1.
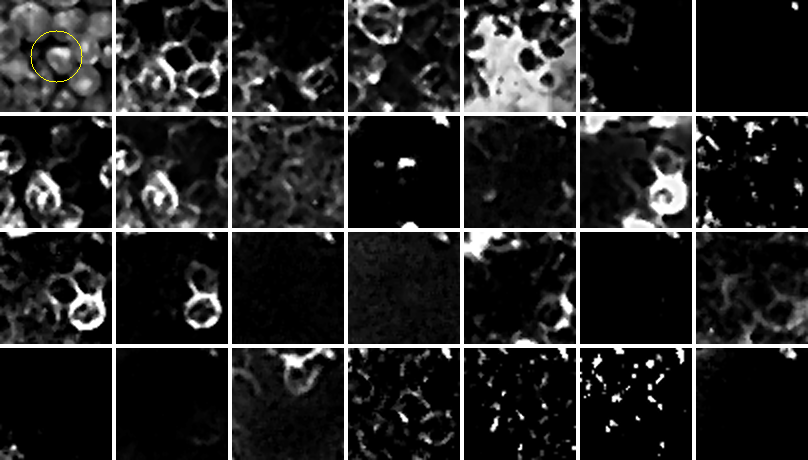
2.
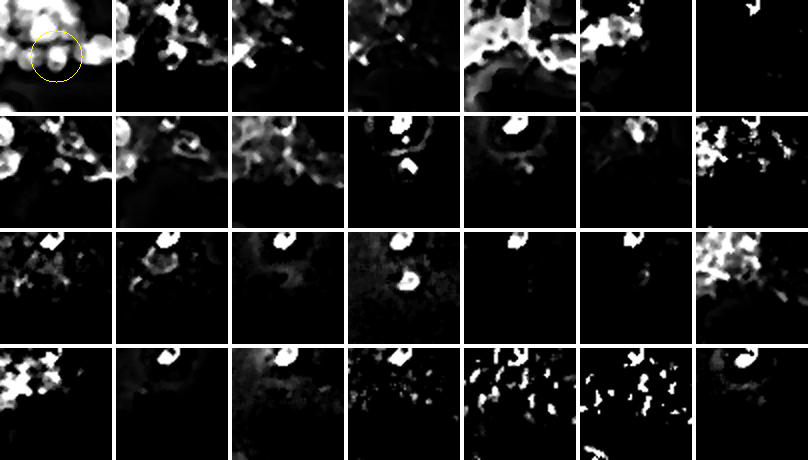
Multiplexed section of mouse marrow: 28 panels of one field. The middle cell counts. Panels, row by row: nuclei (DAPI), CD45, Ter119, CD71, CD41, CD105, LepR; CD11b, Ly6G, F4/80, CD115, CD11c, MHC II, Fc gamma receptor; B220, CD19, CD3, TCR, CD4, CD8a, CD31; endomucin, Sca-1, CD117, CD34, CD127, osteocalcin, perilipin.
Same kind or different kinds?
Same: monocytes.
